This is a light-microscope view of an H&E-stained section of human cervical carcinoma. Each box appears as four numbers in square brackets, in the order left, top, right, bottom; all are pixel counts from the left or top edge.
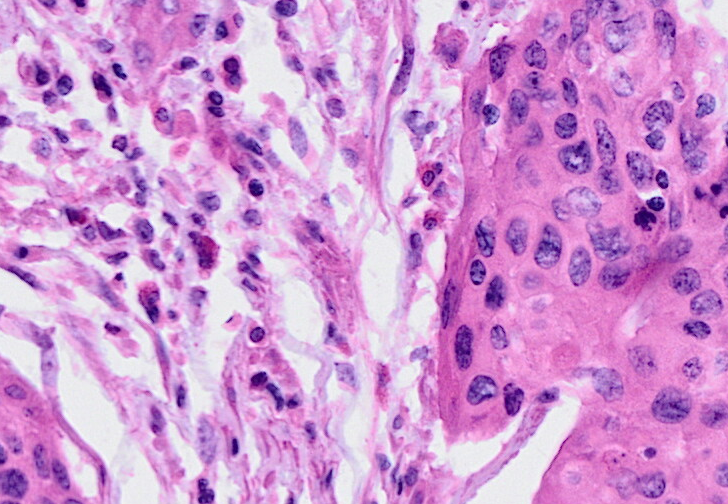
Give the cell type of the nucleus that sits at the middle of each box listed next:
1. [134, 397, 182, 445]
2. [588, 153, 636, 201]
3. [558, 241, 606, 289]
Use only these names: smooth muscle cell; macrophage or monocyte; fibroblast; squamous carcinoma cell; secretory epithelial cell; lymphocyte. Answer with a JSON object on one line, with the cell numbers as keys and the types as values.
{"1": "fibroblast", "2": "squamous carcinoma cell", "3": "squamous carcinoma cell"}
